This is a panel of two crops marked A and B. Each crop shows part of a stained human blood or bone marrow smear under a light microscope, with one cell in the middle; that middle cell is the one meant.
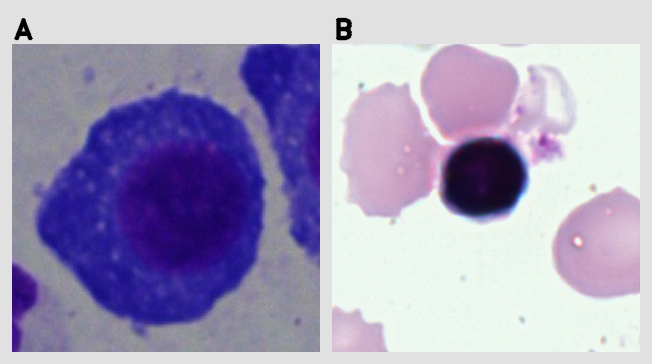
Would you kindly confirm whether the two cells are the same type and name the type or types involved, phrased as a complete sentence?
No, the cell at the middle of crop A is a plasma cell, while crop B centres on an erythroblast.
